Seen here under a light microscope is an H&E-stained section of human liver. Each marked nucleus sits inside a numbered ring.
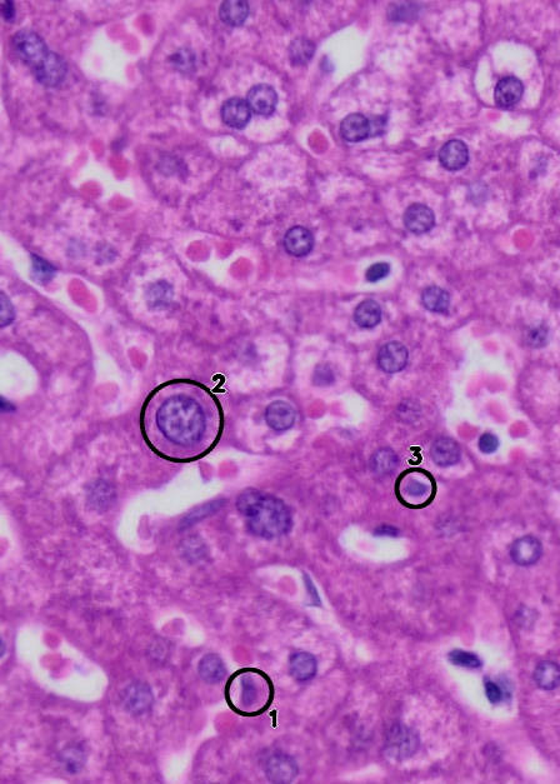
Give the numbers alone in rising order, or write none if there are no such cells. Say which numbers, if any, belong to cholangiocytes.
none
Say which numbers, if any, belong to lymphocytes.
3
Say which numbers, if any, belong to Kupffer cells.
1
